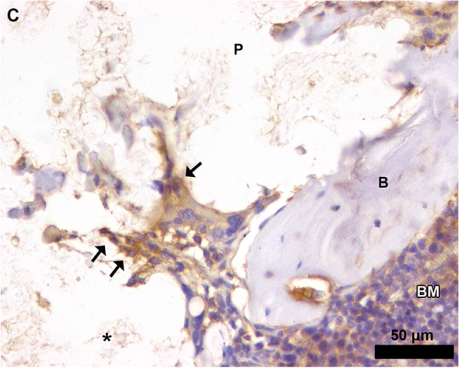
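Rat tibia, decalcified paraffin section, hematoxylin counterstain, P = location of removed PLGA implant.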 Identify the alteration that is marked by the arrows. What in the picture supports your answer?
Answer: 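Brown-stained cells extend into a pale, flaky acellular material. The pale material lies away from the bone.
Answer: cells migrating into the polymeric remnants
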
